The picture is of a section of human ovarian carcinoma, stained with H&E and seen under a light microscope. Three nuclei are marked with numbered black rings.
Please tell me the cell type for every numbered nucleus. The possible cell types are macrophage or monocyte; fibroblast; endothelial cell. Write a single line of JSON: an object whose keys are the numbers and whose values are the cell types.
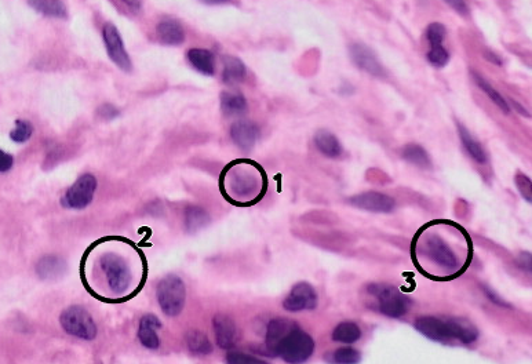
{"1": "fibroblast", "2": "macrophage or monocyte", "3": "fibroblast"}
